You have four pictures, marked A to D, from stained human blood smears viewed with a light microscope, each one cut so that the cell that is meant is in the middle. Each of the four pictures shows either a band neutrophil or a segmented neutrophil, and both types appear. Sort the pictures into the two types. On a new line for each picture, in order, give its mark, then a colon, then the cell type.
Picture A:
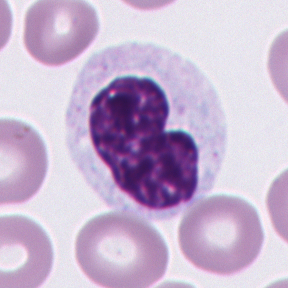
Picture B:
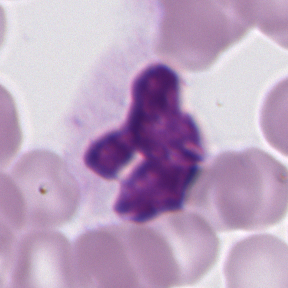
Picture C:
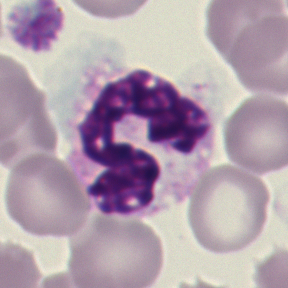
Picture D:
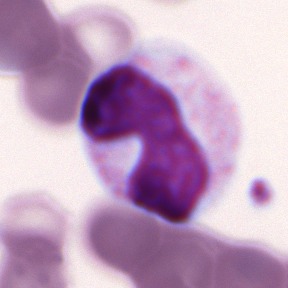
A: segmented neutrophil
B: segmented neutrophil
C: segmented neutrophil
D: band neutrophil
